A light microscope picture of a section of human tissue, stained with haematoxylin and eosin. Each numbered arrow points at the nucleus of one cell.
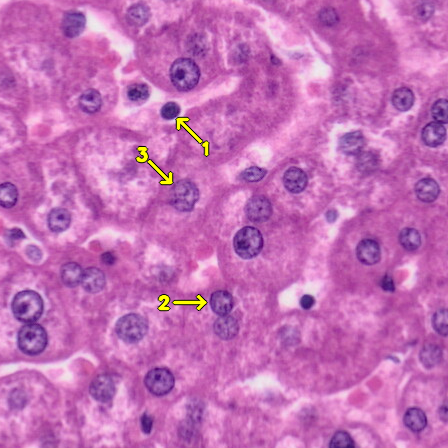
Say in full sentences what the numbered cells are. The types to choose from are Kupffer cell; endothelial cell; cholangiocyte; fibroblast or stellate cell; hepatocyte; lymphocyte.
Cell 1 is a lymphocyte, cell 2 is a hepatocyte and cell 3 is a hepatocyte.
